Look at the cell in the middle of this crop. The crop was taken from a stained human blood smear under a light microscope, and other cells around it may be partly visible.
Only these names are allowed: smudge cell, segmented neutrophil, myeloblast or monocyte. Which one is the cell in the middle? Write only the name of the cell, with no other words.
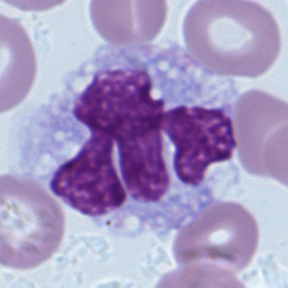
monocyte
